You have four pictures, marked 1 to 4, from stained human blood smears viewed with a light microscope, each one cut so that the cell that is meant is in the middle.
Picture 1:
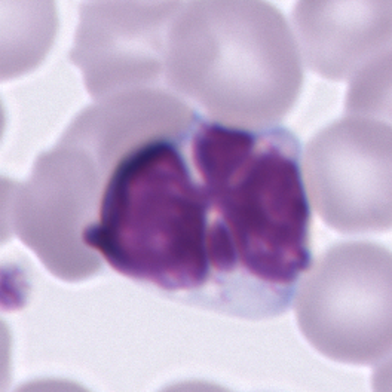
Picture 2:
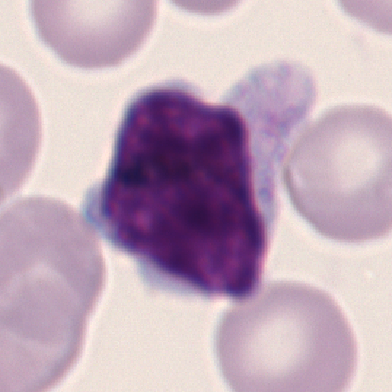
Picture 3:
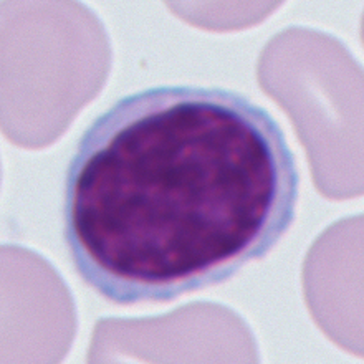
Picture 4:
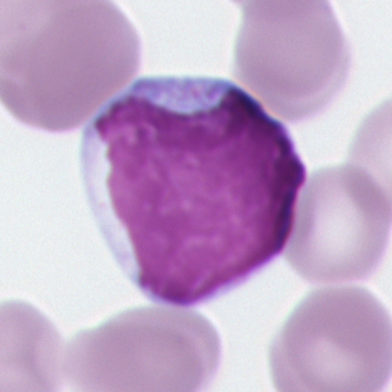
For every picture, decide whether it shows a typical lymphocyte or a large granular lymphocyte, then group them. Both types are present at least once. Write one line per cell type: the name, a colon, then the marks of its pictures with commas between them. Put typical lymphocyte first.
typical lymphocyte: 3
large granular lymphocyte: 1, 2, 4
